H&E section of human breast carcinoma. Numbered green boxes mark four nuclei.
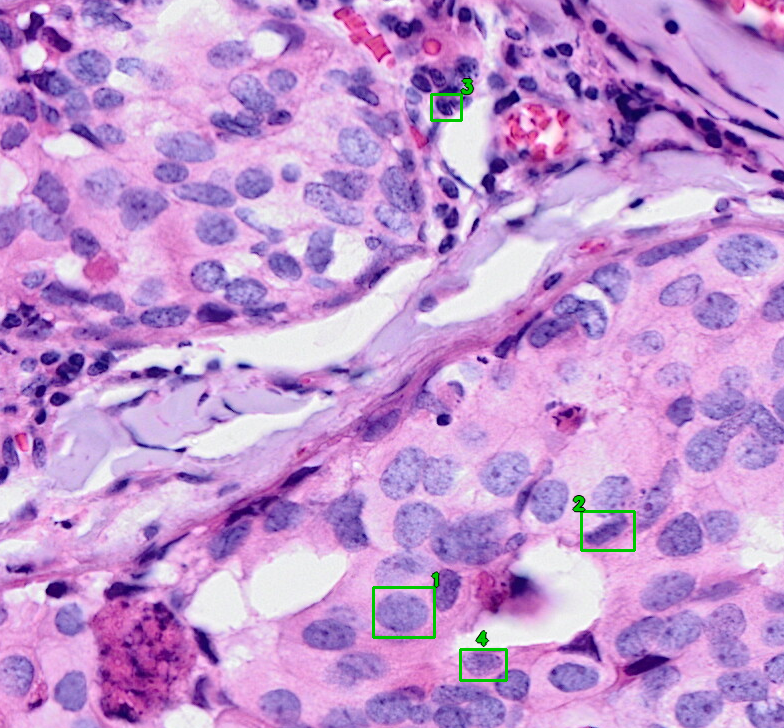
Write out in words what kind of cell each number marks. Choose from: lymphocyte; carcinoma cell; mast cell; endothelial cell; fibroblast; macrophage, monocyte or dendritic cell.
Cells 1, 2 and 4 are carcinoma cells. Cell 3 is a lymphocyte.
